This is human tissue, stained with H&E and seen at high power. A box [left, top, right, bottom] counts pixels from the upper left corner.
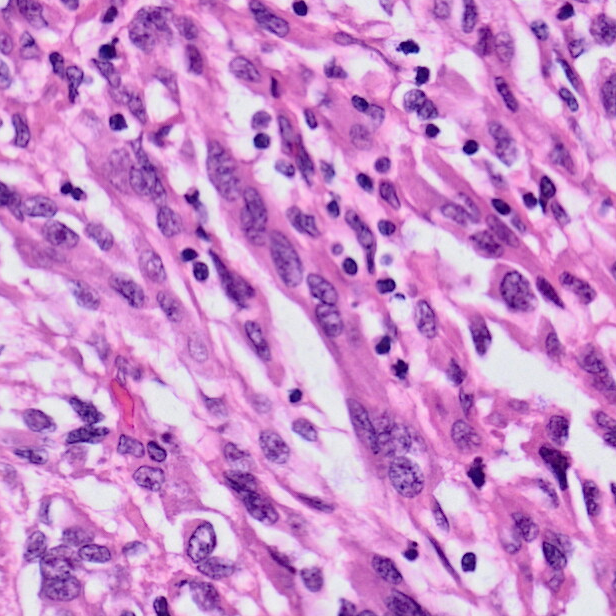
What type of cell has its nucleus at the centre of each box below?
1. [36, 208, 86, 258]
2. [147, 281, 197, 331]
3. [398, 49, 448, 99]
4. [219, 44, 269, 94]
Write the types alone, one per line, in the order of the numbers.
melanoma cell
melanoma cell
lymphocyte
melanoma cell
